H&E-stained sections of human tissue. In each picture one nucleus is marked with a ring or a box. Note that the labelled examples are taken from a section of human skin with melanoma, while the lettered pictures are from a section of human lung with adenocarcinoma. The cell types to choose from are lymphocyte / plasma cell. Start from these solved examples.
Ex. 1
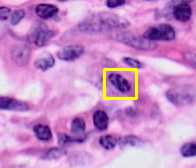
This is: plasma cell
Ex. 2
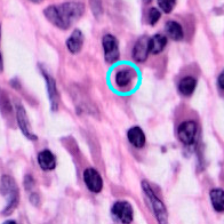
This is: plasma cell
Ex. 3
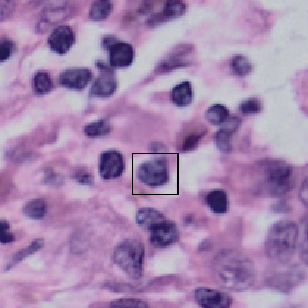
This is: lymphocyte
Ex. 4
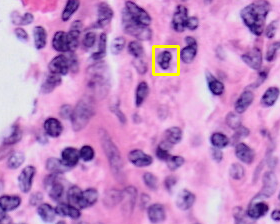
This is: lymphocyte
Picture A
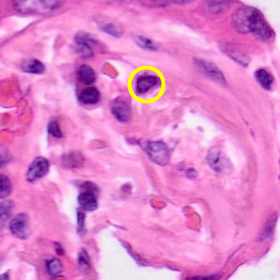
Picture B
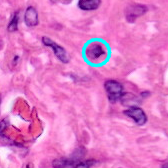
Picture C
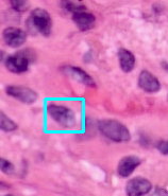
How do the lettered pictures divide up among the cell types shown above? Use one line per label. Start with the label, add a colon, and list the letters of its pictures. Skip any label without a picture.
lymphocyte: C
plasma cell: A, B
